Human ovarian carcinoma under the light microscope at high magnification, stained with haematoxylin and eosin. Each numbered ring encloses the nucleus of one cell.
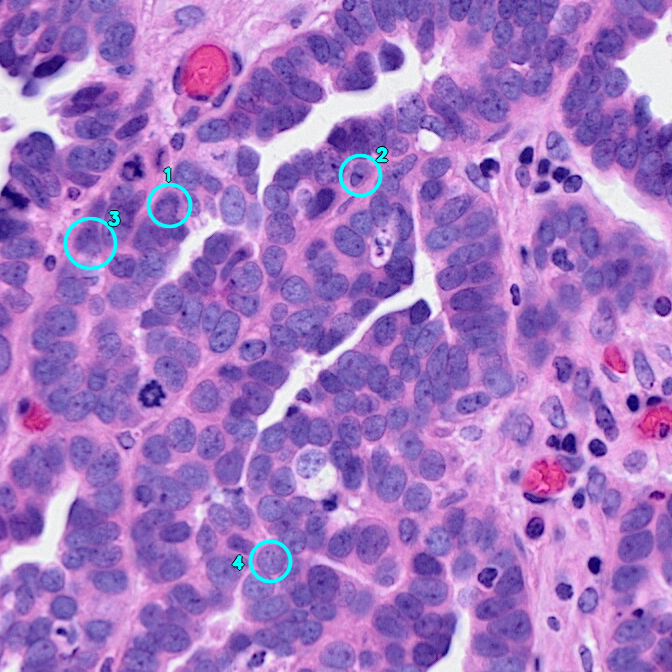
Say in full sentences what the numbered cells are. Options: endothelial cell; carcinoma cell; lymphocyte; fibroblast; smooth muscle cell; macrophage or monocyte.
Cells 1, 3 and 4 are carcinoma cells. Cell 2 is a macrophage or monocyte.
